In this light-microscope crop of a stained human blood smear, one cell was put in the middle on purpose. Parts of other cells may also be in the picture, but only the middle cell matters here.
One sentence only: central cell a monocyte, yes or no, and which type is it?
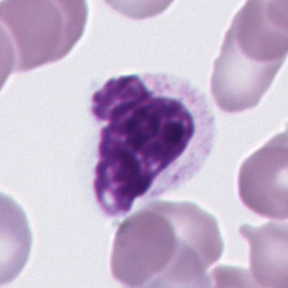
No, the middle cell is classified as a segmented neutrophil instead of a monocyte.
